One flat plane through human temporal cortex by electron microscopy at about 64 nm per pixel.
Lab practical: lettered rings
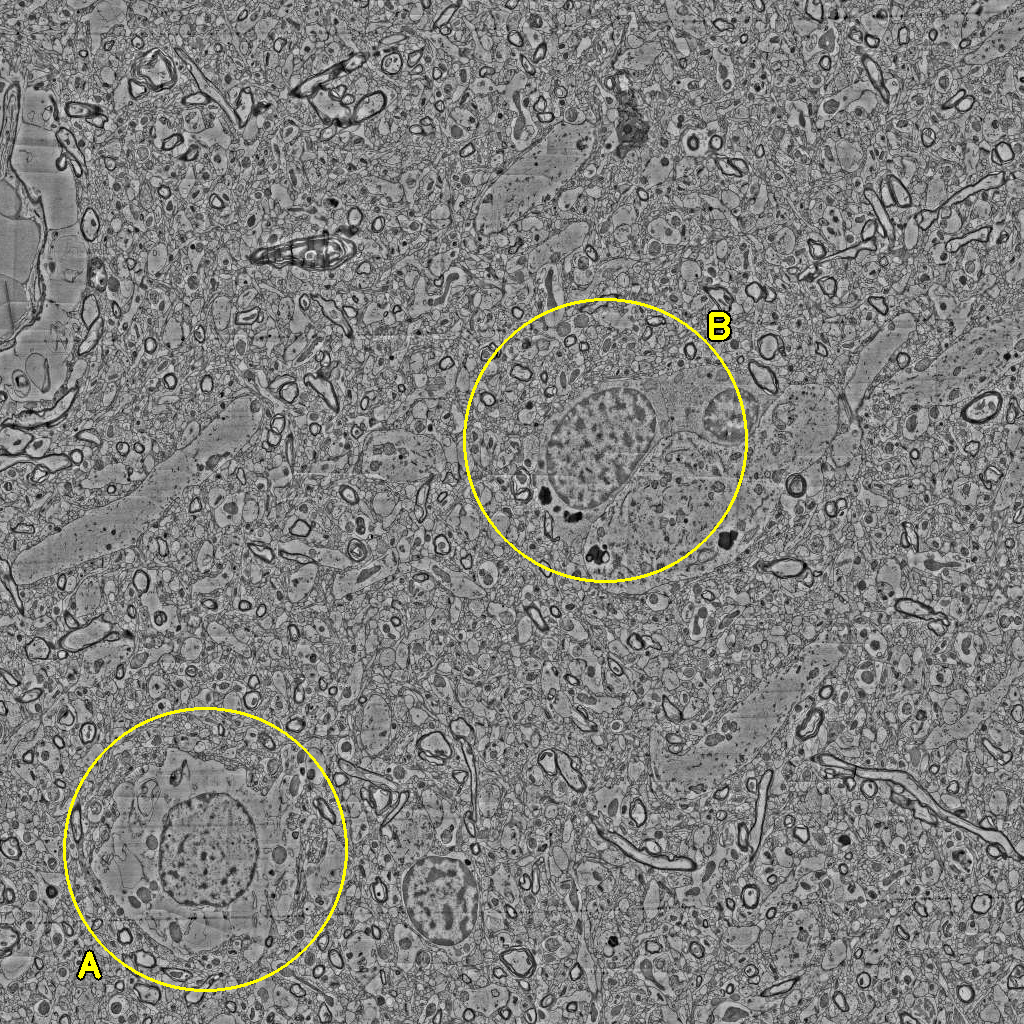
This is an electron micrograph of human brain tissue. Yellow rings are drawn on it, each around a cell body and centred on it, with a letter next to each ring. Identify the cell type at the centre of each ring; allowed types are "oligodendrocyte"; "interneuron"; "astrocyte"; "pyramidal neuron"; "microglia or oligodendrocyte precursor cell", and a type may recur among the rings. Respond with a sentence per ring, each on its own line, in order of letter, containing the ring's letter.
Lying at the centre of ring A is an astrocyte.
Lying at the centre of ring B is an oligodendrocyte.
